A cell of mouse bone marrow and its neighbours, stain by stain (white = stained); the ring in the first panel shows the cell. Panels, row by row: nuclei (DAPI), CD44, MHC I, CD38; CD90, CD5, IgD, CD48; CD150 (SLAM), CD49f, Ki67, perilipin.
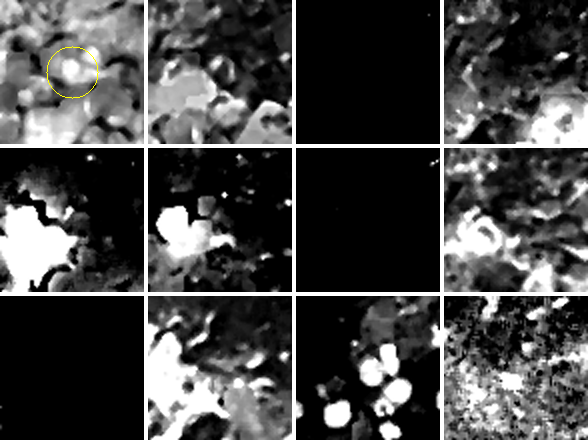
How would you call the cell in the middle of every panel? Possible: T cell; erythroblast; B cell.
I would call it an erythroblast.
